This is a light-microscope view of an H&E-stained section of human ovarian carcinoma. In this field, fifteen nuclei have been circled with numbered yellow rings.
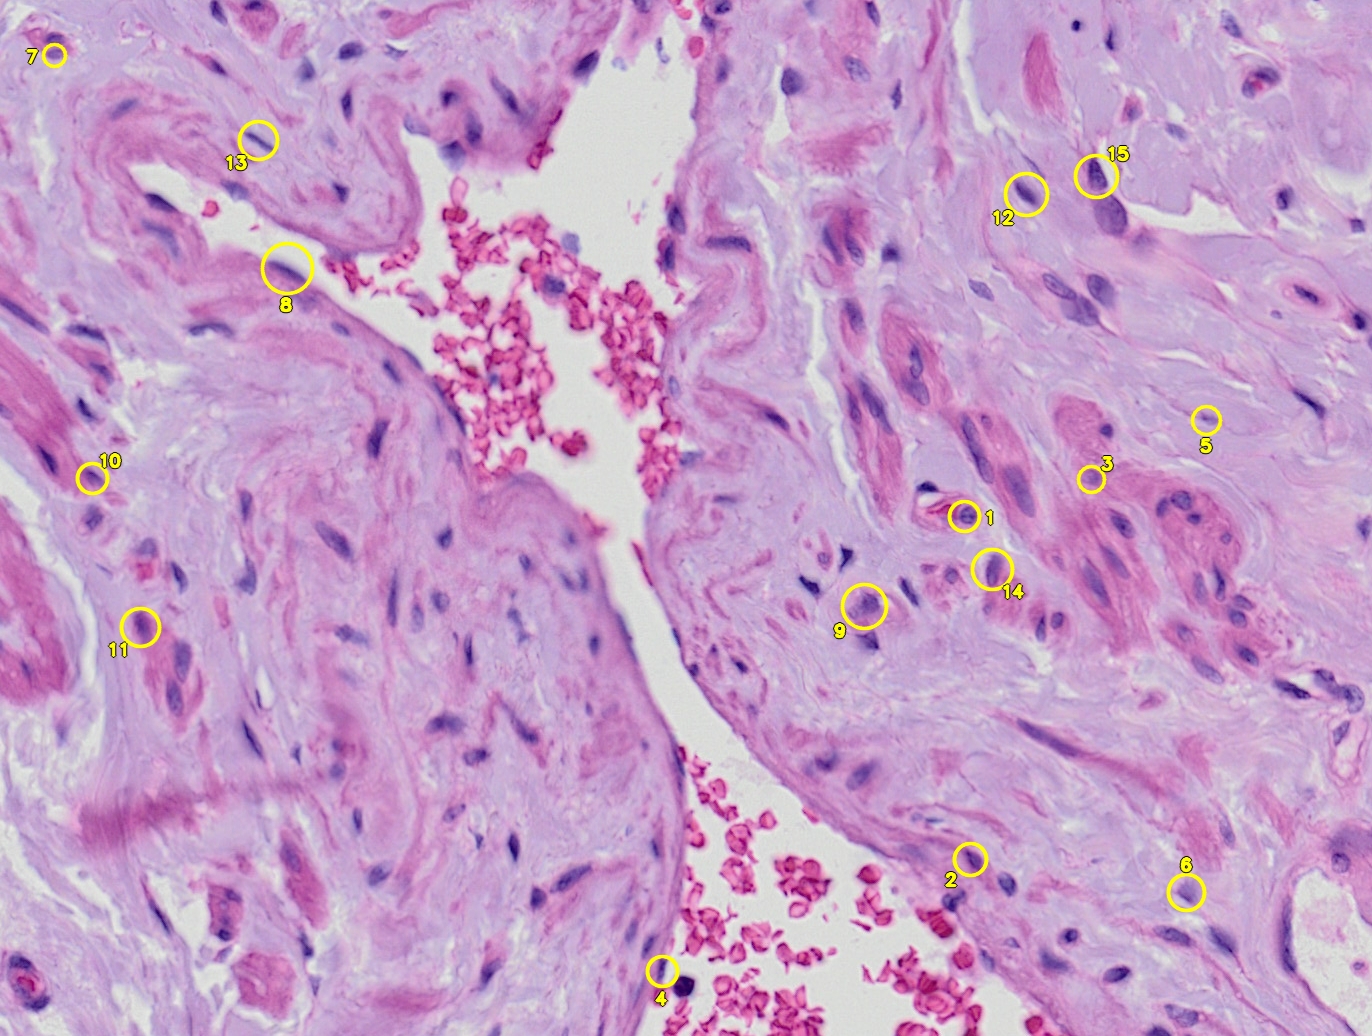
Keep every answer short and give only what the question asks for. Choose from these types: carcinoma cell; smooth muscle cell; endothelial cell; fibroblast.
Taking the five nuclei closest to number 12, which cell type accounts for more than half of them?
endothelial cell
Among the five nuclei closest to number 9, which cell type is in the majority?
fibroblast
